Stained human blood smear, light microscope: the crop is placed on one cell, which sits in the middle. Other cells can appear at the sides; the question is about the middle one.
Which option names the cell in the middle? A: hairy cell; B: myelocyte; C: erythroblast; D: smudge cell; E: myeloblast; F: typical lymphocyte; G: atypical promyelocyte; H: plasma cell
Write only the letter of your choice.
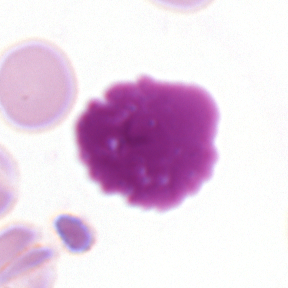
D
